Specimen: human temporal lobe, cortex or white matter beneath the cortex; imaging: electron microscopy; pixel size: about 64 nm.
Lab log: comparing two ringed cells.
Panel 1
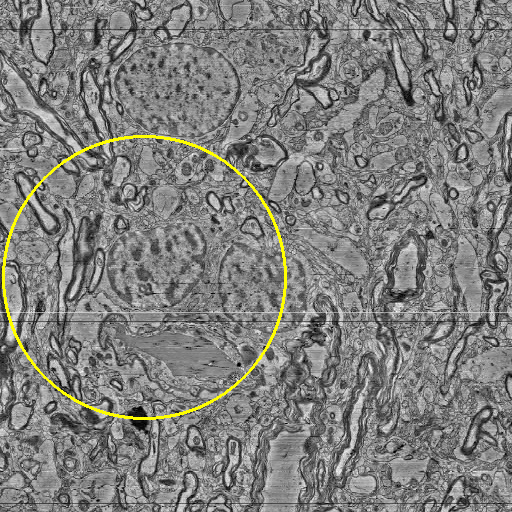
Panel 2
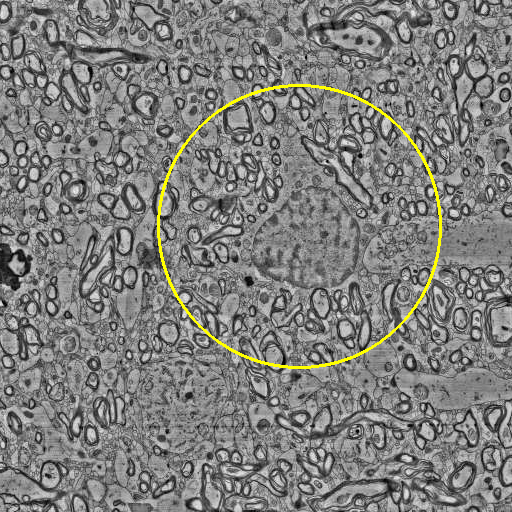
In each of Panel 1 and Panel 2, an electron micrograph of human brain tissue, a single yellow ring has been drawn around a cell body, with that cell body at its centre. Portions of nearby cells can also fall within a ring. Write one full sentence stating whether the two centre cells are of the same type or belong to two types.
The cells at the ring centres in Panel 1 and Panel 2 are of the same type.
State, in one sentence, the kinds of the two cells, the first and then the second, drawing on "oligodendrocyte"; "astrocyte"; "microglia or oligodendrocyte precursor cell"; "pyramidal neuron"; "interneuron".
Each of the ringed cells, first and second, is an oligodendrocyte.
